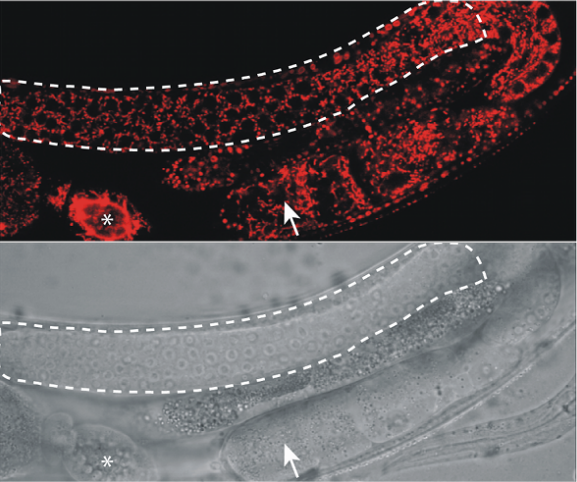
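At lower left a bright red ring-like structure lies apart from the gonad. In the lower transmitted-light image the gonad tube is filled with small round nuclei and the oocytes appear as large cells with granular cytoplasm.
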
